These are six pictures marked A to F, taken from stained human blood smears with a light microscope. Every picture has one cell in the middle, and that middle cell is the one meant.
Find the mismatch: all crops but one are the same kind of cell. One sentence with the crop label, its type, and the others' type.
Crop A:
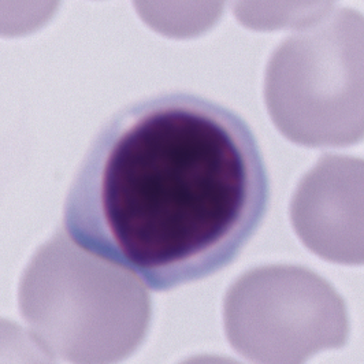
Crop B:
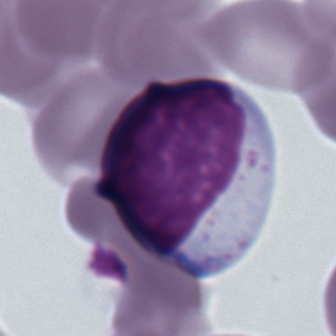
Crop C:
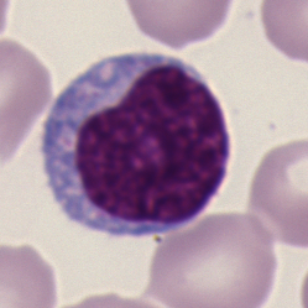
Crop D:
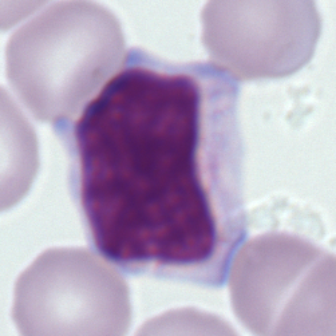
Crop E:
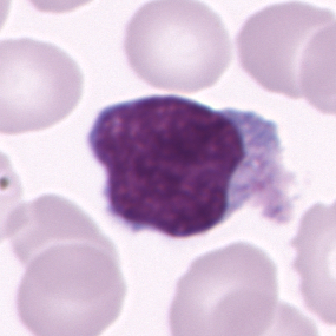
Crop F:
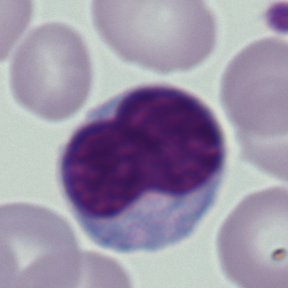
Crop B is the only one that is a large granular lymphocyte; all the others show typical lymphocytes.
